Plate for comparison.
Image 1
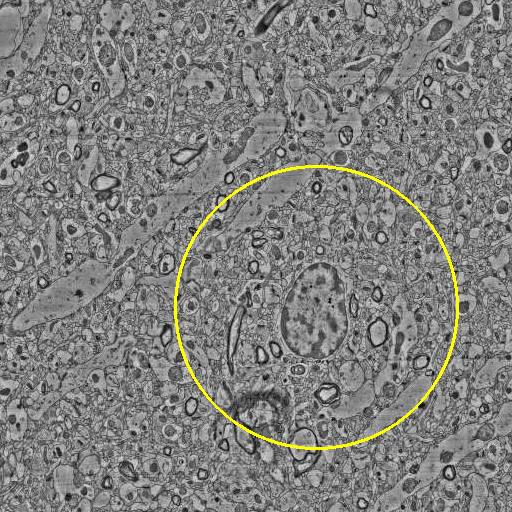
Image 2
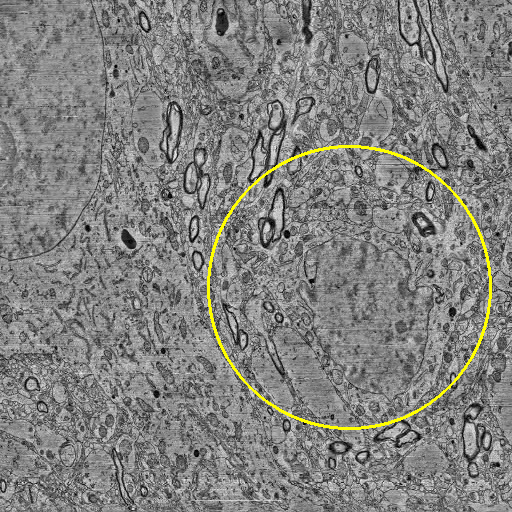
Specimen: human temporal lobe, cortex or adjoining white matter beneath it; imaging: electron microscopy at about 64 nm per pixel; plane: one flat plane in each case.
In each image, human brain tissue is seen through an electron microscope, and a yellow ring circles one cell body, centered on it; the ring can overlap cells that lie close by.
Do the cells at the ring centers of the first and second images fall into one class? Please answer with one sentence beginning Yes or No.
No, the first and second images show two classes of cell at the ring centers.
